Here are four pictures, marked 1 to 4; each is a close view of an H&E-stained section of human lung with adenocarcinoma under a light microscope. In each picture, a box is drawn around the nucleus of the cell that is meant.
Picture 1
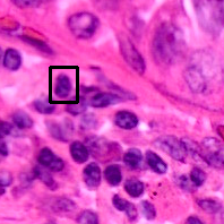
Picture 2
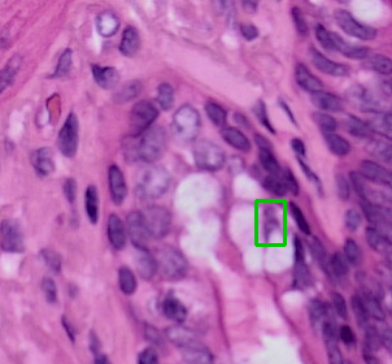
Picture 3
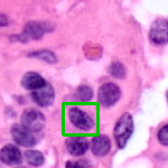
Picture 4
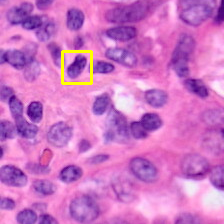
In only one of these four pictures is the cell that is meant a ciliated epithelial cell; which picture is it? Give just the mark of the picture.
2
